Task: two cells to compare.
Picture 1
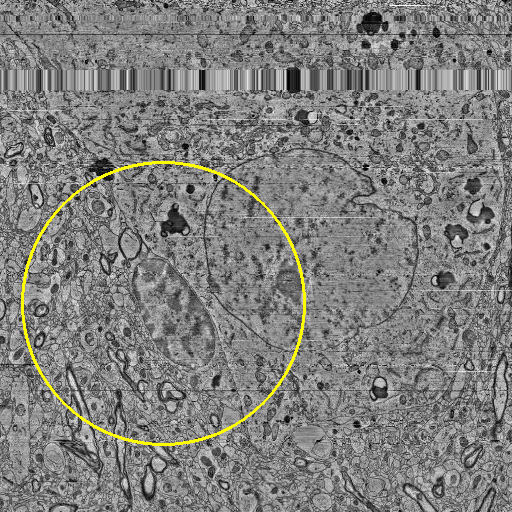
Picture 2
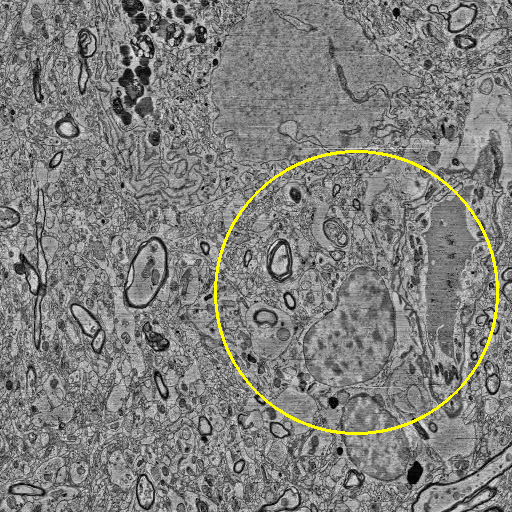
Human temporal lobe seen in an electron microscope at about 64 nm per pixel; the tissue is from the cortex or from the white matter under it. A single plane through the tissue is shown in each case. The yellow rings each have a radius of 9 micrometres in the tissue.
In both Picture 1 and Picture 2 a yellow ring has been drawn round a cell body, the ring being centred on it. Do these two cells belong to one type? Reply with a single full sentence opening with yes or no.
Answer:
No, the two cells at the ring centres in Picture 1 and Picture 2 are of two types.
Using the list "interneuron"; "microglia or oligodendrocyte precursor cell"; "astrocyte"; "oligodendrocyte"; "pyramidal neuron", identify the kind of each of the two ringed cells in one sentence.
The first is an oligodendrocyte and the second is a microglial cell or oligodendrocyte precursor cell.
